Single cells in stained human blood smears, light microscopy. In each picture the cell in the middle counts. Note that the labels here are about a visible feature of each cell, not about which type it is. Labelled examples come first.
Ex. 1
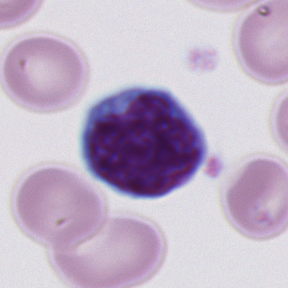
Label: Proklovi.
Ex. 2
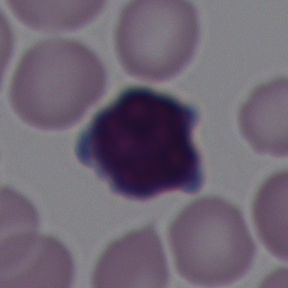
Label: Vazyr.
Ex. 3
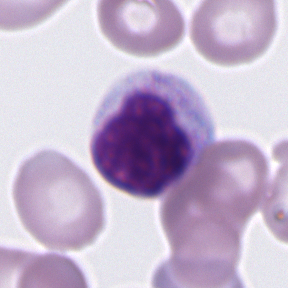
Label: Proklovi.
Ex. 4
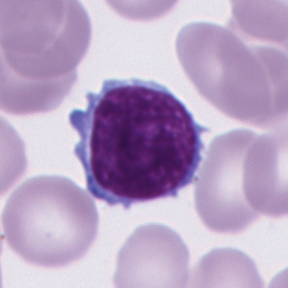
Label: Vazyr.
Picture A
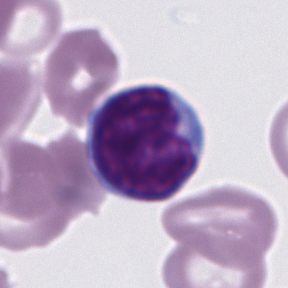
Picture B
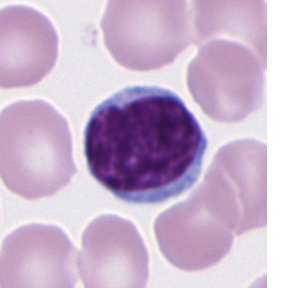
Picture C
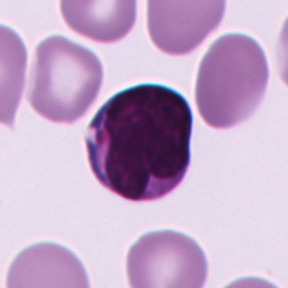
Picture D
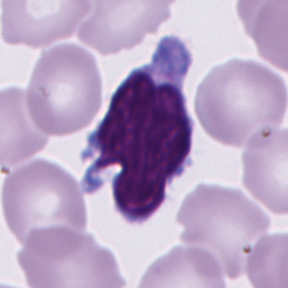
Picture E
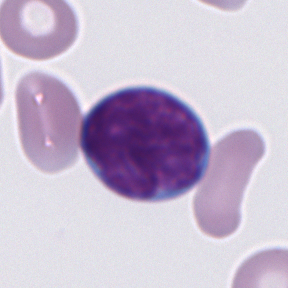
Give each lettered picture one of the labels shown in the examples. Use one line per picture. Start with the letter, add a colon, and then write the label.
A: Proklovi.
B: Proklovi.
C: Proklovi.
D: Vazyr.
E: Proklovi.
